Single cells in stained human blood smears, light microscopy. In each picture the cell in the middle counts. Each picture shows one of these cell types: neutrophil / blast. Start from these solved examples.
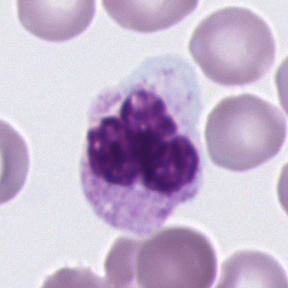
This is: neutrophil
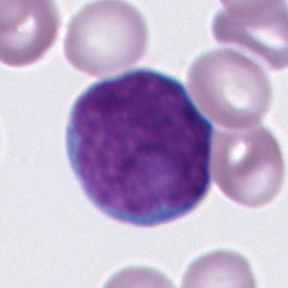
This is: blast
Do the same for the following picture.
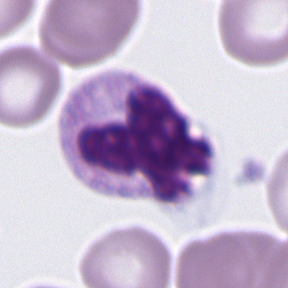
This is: neutrophil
